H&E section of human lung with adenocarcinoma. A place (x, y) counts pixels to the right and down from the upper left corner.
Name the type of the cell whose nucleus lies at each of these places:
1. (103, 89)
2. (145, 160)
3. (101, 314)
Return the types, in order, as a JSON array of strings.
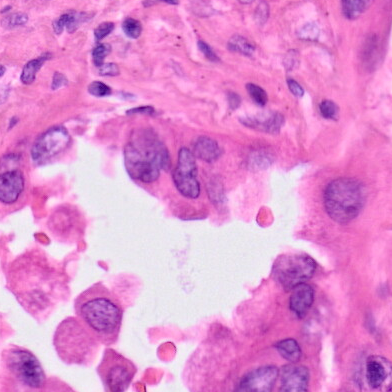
["lymphocyte", "carcinoma cell", "carcinoma cell"]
